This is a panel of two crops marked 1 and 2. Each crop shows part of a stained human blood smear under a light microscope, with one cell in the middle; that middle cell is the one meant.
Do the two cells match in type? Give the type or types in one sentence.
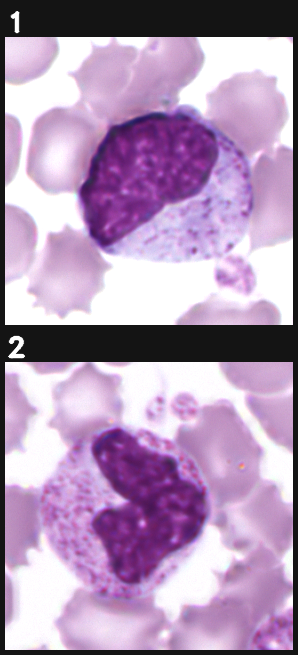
No, crop 1 shows a metamyelocyte, with a band neutrophil shown in crop 2.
